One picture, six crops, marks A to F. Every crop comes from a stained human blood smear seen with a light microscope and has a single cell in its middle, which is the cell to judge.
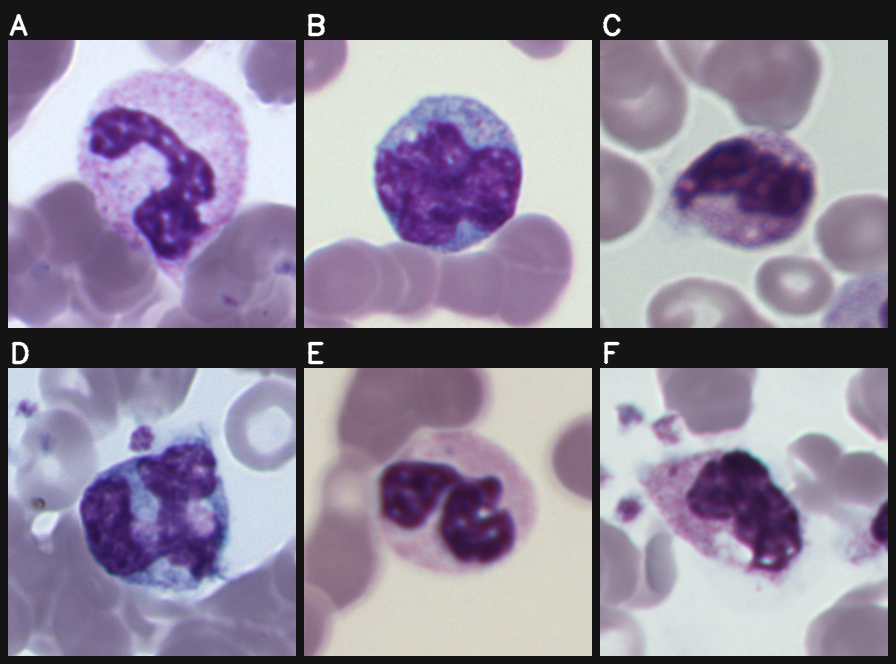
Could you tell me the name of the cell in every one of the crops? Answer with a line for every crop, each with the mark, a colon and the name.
A: segmented neutrophil
B: monocyte
C: segmented neutrophil
D: monocyte
E: segmented neutrophil
F: segmented neutrophil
